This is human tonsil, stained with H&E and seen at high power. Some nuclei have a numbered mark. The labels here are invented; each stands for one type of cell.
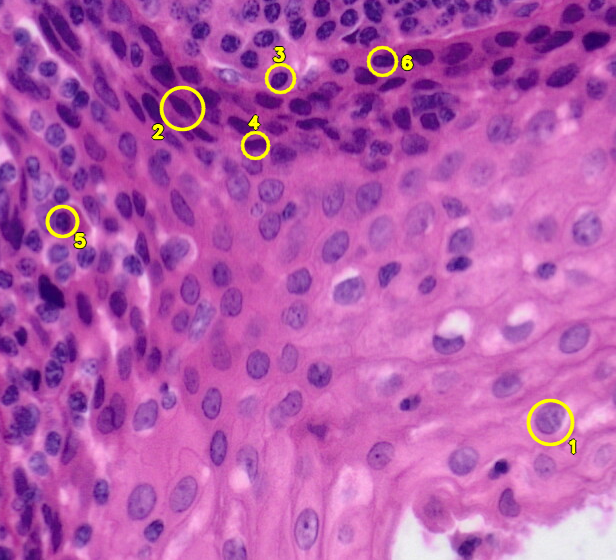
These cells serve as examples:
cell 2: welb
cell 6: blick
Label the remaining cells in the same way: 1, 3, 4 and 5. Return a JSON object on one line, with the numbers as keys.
{"1": "welb", "3": "blick", "4": "welb", "5": "blick"}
